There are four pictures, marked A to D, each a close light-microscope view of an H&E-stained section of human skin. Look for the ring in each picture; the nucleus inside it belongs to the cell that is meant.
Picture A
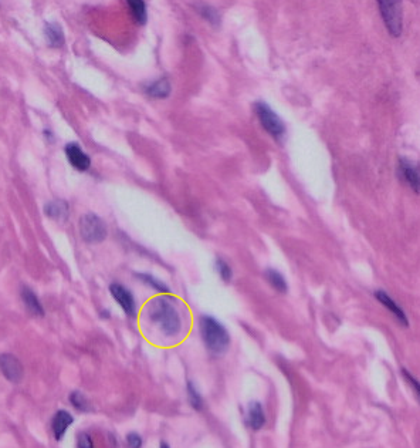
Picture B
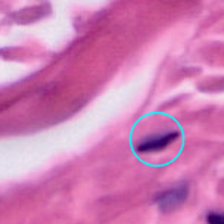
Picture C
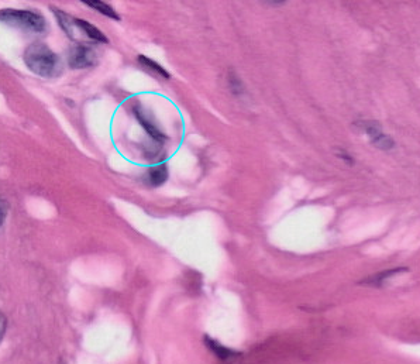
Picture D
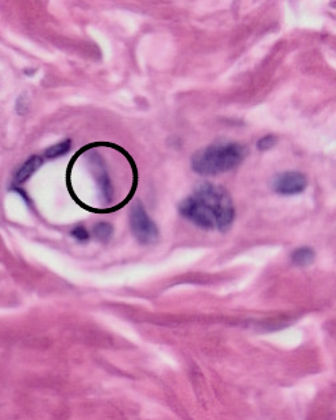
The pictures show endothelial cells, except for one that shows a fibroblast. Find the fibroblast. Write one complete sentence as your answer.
The fibroblast is the one in picture B.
